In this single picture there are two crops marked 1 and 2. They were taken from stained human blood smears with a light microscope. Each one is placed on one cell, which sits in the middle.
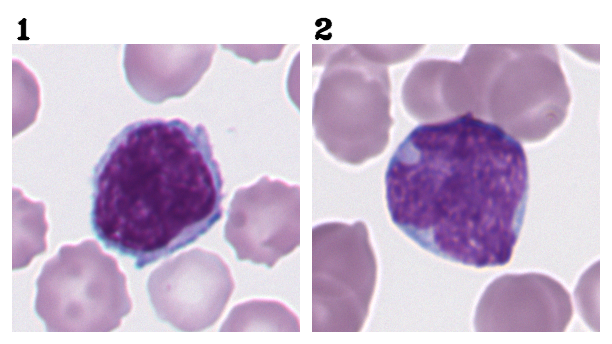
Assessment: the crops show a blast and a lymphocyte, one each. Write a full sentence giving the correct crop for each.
The cell in crop 1 is a lymphocyte, and the one in crop 2 is a blast.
